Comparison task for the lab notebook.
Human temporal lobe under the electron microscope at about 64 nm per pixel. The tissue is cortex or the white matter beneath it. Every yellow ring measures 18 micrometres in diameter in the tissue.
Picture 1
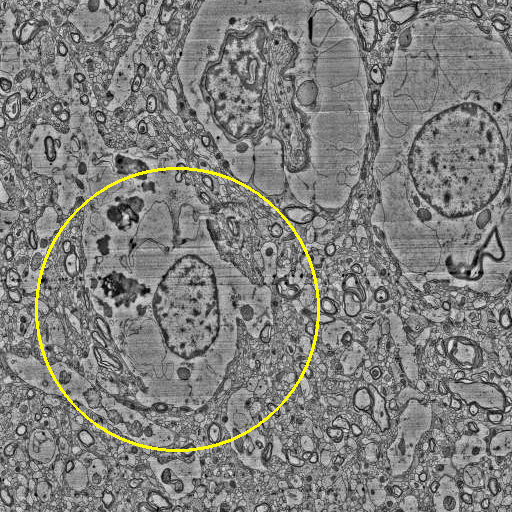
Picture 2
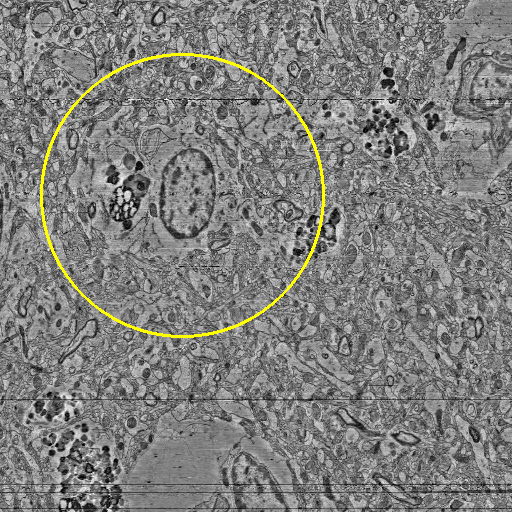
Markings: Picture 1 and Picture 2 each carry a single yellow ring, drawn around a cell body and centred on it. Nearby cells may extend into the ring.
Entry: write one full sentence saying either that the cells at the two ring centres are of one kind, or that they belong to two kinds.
The cells sitting at the ring centres in Picture 1 and Picture 2 are of one kind.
